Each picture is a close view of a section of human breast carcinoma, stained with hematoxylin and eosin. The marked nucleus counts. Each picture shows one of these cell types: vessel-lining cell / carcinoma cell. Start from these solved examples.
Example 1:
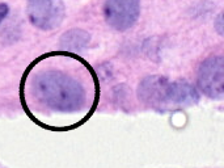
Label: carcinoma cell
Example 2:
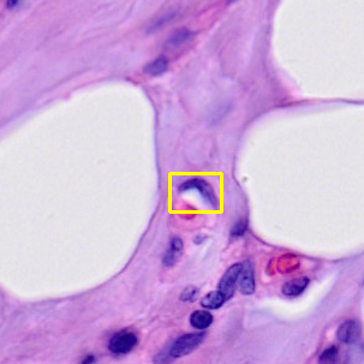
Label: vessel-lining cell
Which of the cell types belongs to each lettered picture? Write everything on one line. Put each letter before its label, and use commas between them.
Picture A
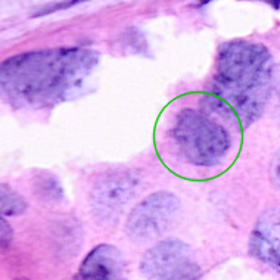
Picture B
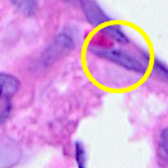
A carcinoma cell, B vessel-lining cell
